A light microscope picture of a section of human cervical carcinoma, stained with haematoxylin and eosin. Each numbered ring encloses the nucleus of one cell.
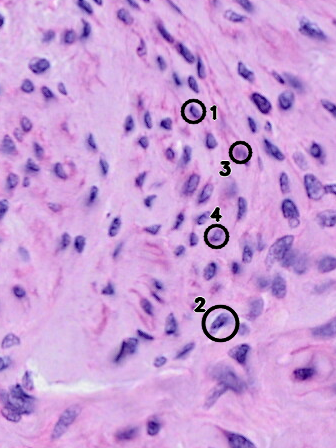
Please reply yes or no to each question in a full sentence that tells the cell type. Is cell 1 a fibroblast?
No, the cell at marker 1 is not a fibroblast; it is a smooth muscle cell.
